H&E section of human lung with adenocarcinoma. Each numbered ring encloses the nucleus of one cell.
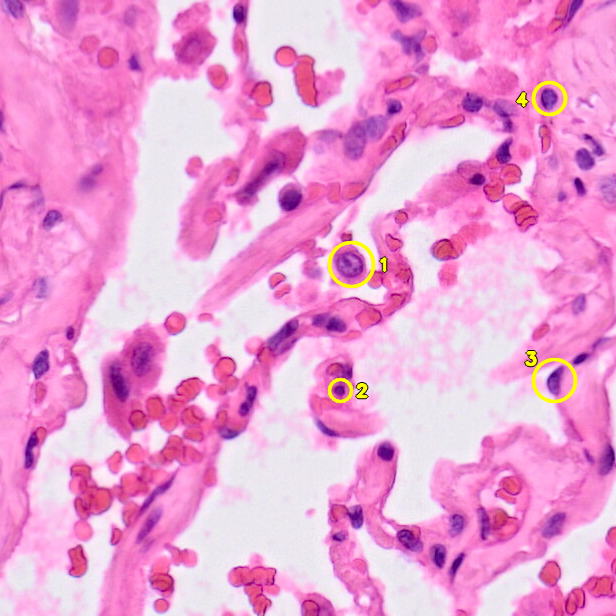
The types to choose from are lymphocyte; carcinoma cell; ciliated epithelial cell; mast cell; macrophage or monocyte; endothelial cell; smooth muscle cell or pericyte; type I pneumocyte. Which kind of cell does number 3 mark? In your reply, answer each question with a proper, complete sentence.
Here, the cell given the number 3 is a type I pneumocyte.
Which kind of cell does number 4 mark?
Here, the cell given the number 4 is a mast cell.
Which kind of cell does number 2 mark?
Cell 2, as marked in the section, is an endothelial cell.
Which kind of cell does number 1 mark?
The expected answer is that cell 1 is a macrophage or monocyte.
